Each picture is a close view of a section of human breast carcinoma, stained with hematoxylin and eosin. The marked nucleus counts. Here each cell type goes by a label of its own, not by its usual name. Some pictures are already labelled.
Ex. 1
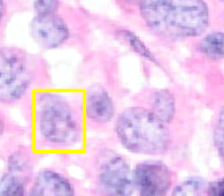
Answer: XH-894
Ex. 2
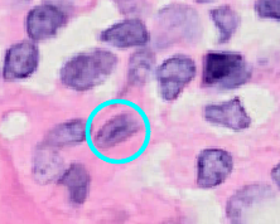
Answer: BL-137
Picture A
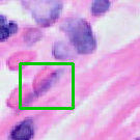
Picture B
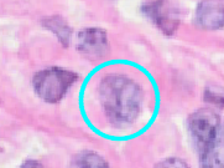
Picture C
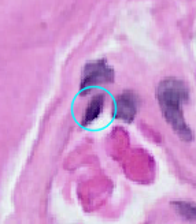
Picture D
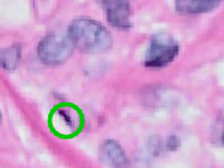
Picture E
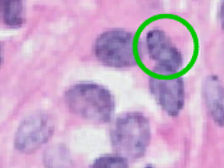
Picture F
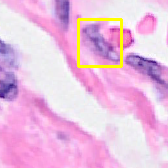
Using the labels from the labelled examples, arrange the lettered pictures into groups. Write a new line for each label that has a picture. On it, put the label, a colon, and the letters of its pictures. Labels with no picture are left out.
XH-894: B, E
BL-137: A, C, D, F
